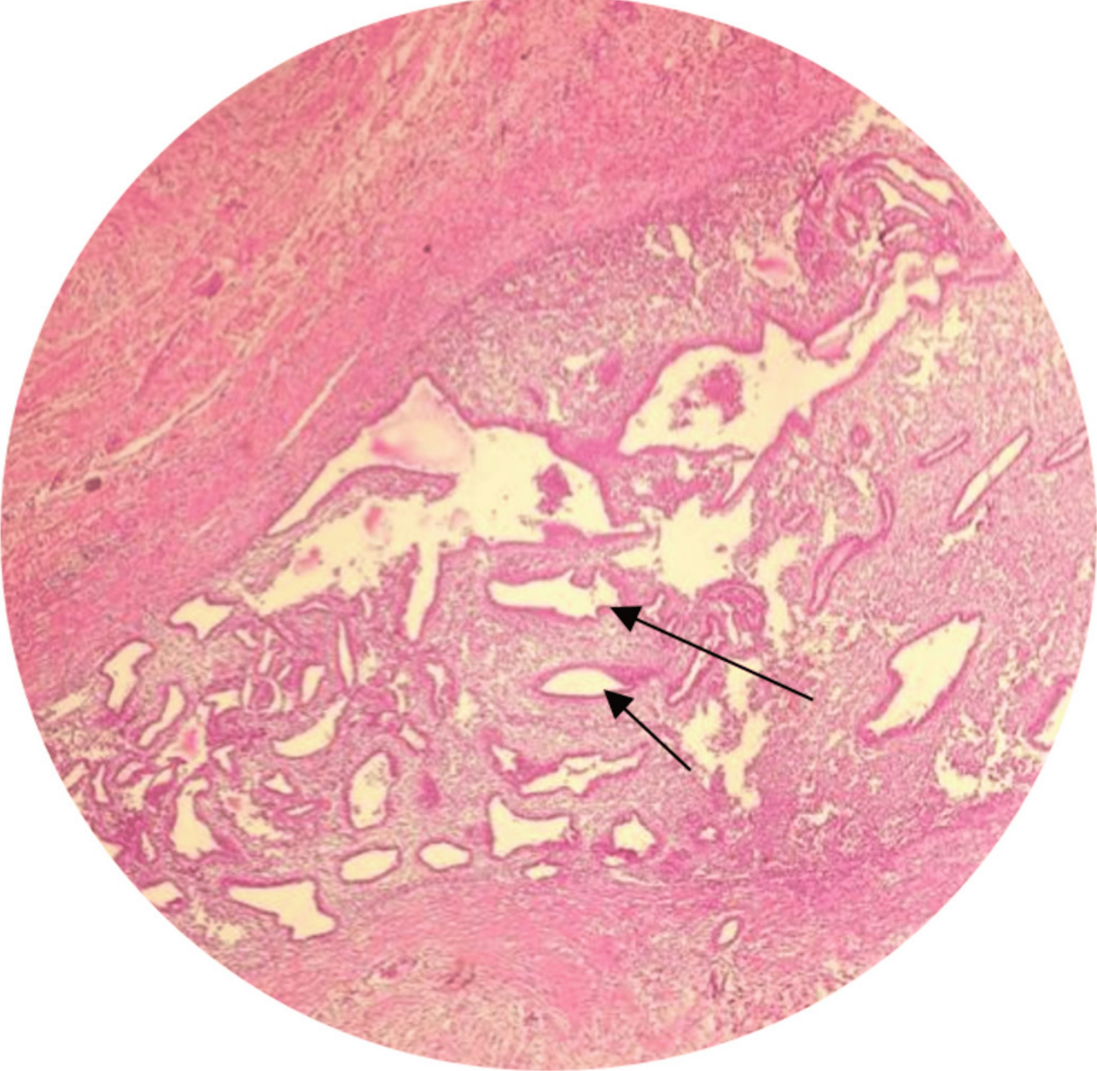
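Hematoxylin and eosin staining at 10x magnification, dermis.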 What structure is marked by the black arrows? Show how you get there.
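The arrows point to elongated open lumens lined by a thin epithelial layer. The lumens sit within a densely cellular pink-purple stroma. Many similar irregular and branching gland spaces cluster in a band across the middle of the field. That points to this answer: endometrial glands.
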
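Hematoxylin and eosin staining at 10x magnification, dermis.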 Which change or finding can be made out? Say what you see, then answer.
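Irregular gland spaces lie within a band of densely cellular stroma. This gland-and-stroma band is set apart from paler, more fibrous pink tissue above and below.
Endometriosis.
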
